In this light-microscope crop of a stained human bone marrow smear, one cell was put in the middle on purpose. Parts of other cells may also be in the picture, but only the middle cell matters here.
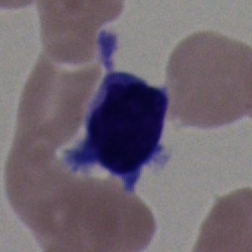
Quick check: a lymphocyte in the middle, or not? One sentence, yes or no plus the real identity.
Yes, the crop's central cell is a lymphocyte.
